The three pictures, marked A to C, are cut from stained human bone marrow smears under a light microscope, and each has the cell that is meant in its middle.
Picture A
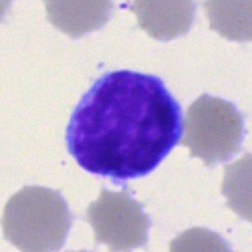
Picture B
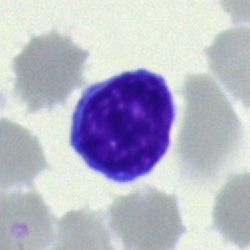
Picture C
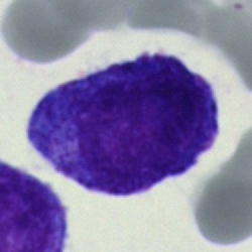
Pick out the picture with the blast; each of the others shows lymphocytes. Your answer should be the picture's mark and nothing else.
C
